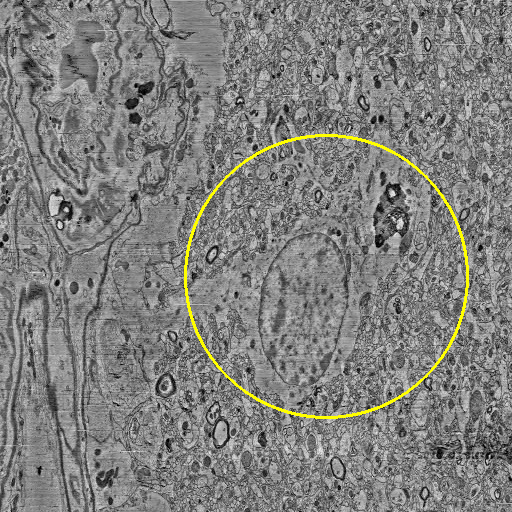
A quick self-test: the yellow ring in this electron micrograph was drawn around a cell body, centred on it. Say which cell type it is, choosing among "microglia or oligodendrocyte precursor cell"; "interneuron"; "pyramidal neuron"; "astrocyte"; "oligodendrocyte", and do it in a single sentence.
The yellow-ringed cell is an astrocyte.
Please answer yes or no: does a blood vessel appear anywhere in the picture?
Yes, the picture includes a blood vessel.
